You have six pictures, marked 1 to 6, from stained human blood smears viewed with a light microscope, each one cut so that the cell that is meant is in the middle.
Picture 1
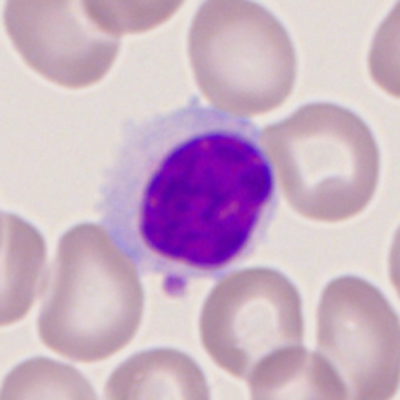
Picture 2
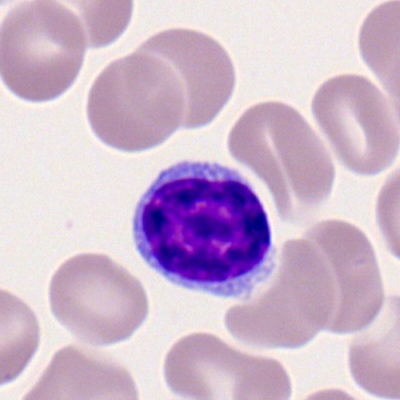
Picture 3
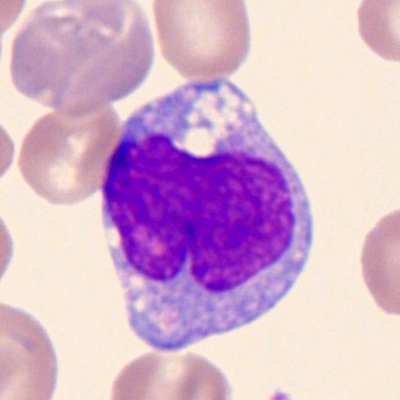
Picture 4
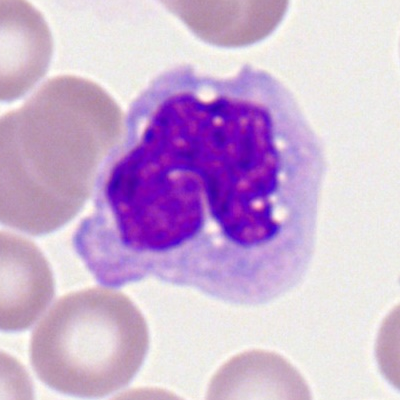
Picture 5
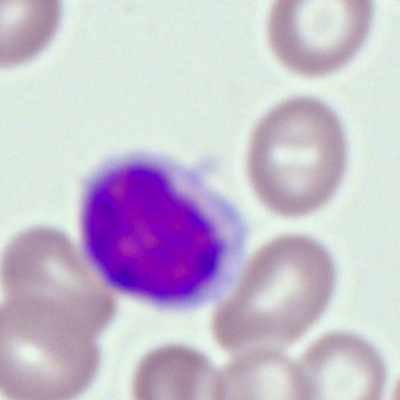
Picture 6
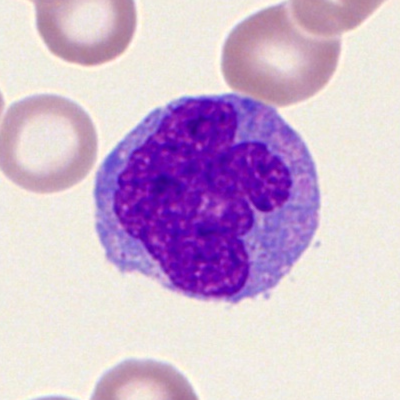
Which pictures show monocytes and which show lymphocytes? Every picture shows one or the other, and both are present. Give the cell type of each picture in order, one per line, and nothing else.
lymphocyte
lymphocyte
monocyte
monocyte
lymphocyte
monocyte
